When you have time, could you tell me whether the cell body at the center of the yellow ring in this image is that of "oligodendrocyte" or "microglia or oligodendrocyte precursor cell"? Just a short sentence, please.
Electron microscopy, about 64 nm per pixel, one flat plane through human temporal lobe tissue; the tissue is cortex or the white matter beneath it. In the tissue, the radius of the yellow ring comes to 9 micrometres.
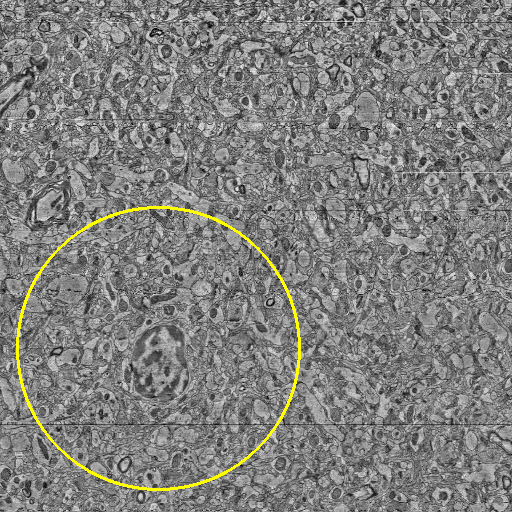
The cell body at the center of the ring is that of a microglial cell or oligodendrocyte precursor cell.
